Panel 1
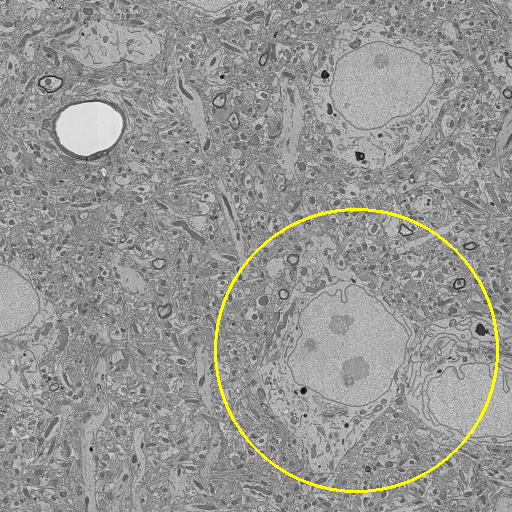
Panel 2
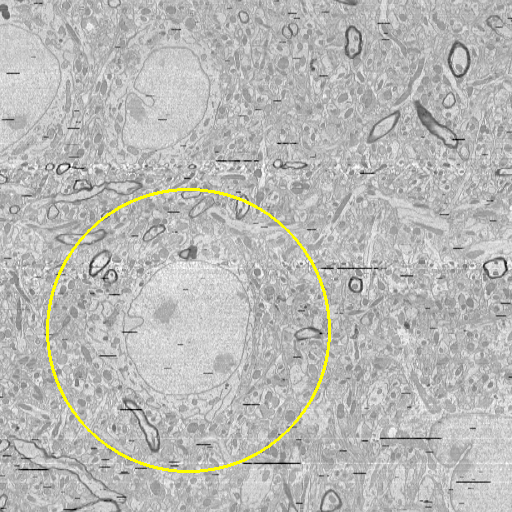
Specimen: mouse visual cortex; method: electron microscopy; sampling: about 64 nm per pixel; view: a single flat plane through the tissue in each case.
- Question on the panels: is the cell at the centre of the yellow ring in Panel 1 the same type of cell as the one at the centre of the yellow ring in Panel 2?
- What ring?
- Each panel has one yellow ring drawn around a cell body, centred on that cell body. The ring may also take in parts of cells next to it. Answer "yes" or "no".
yes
